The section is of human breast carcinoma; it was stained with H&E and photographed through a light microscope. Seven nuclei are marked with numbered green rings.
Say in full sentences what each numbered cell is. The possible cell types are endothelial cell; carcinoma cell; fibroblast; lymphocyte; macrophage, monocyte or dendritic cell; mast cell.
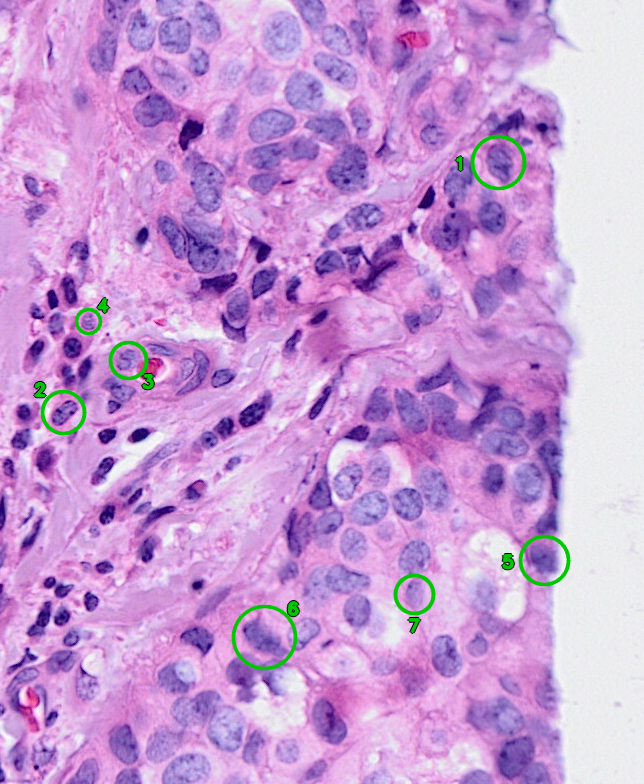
Cell 1 is a carcinoma cell, cell 2 is a mast cell, cell 3 is an endothelial cell, cell 4 is a mast cell, cell 5 is a carcinoma cell, cell 6 is a carcinoma cell and cell 7 is a carcinoma cell.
